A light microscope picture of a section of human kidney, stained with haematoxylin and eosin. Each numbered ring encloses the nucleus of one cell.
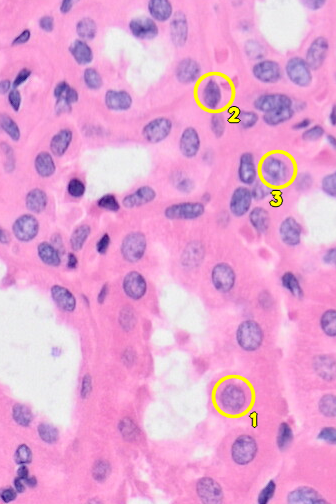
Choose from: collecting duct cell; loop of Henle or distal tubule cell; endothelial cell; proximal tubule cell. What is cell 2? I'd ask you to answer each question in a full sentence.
That cell with number 2 is an endothelial cell.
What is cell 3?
Denoted by the label 3 in the section is a collecting duct cell.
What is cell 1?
The cell bearing label 1 corresponds to a proximal tubule cell.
